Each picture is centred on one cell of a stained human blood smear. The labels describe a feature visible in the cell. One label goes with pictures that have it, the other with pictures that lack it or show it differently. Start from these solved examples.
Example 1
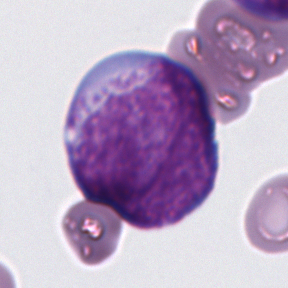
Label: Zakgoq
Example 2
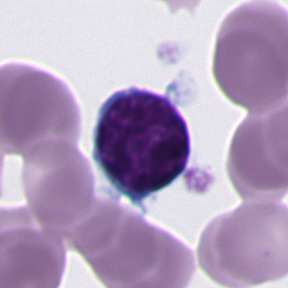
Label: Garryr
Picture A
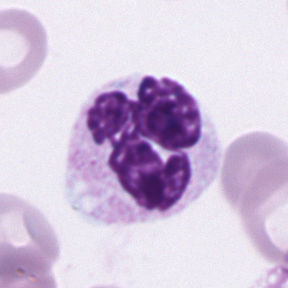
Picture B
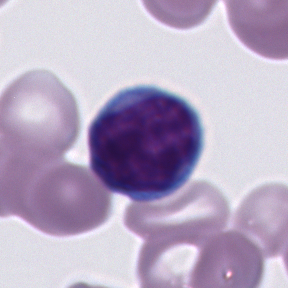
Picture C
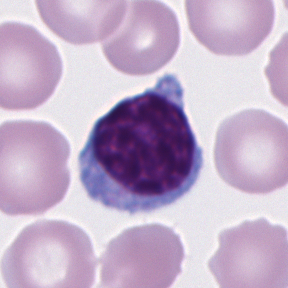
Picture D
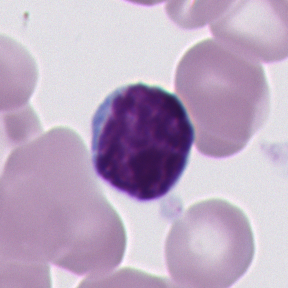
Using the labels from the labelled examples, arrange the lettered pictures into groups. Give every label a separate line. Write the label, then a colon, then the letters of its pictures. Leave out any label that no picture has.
Zakgoq: A, B, D
Garryr: C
